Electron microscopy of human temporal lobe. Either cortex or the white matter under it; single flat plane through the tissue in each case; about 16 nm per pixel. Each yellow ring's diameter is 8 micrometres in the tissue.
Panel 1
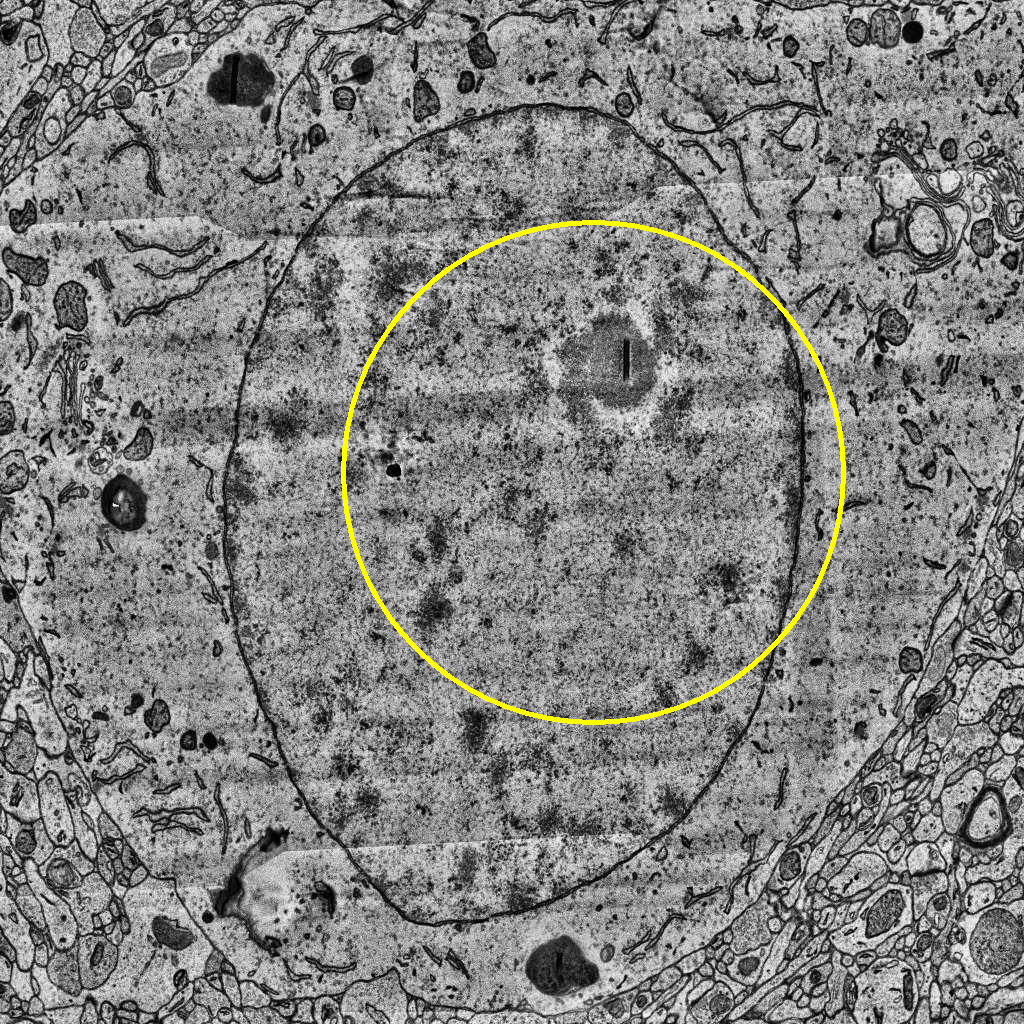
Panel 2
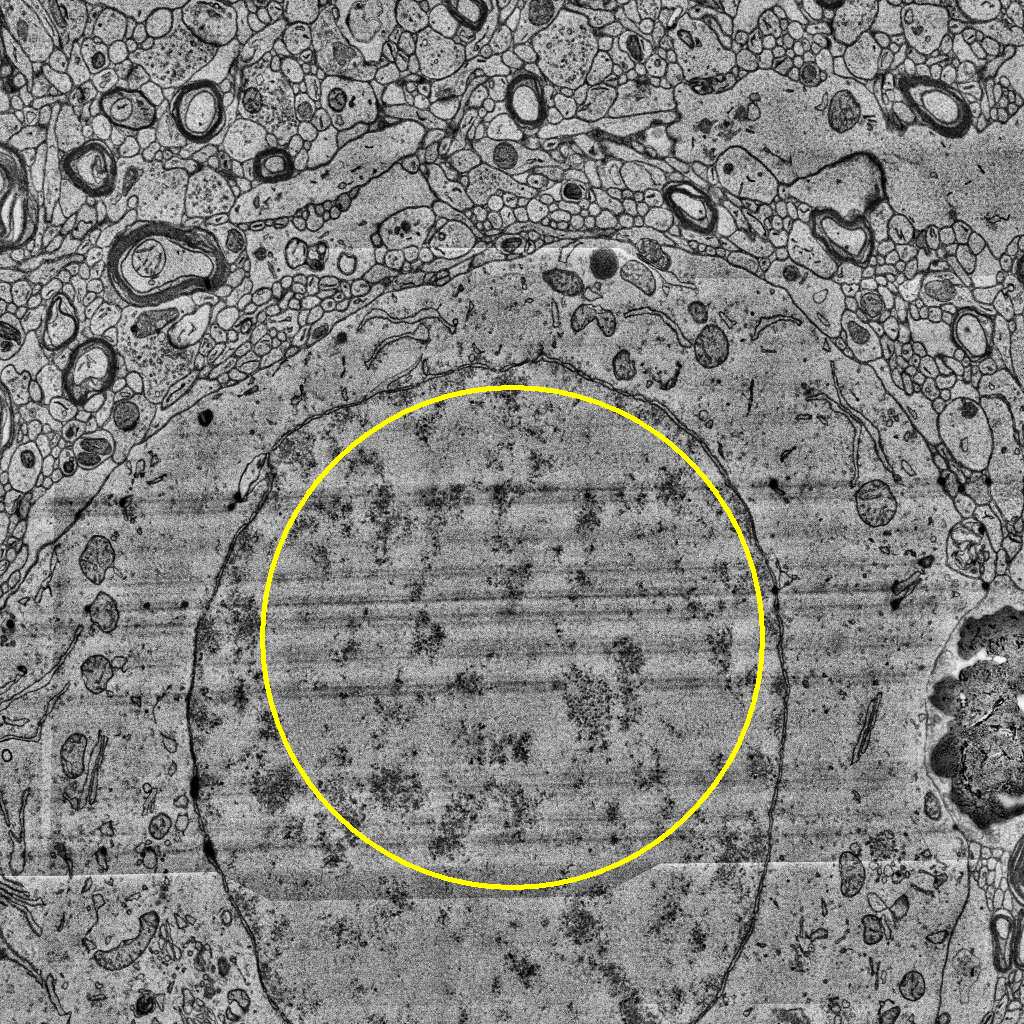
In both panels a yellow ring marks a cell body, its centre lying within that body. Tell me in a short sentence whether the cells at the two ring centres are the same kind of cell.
Yes, they are the same kind of cell.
